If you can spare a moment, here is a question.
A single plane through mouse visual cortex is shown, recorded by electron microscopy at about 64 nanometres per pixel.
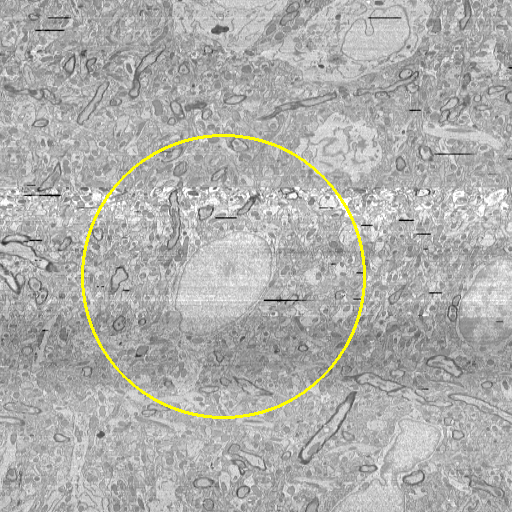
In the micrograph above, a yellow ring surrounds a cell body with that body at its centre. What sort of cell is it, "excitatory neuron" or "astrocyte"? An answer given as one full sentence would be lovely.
Centred inside the yellow ring, the cell body shown belongs to an astrocyte in this micrograph.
